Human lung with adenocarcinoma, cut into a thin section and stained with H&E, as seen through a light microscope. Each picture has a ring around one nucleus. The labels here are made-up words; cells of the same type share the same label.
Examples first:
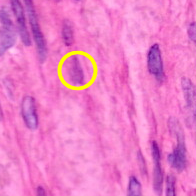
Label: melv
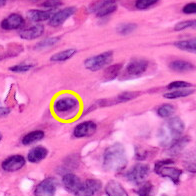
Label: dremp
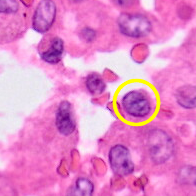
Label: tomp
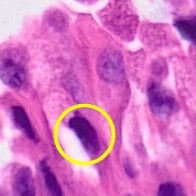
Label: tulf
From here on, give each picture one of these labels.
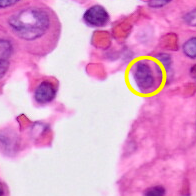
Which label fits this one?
tomp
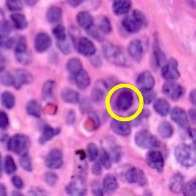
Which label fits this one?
dremp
